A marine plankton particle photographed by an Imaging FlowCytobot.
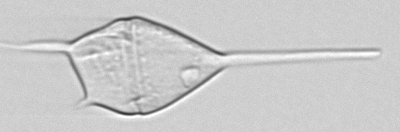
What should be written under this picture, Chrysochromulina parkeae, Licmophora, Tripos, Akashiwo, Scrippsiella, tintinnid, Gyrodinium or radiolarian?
Tripos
